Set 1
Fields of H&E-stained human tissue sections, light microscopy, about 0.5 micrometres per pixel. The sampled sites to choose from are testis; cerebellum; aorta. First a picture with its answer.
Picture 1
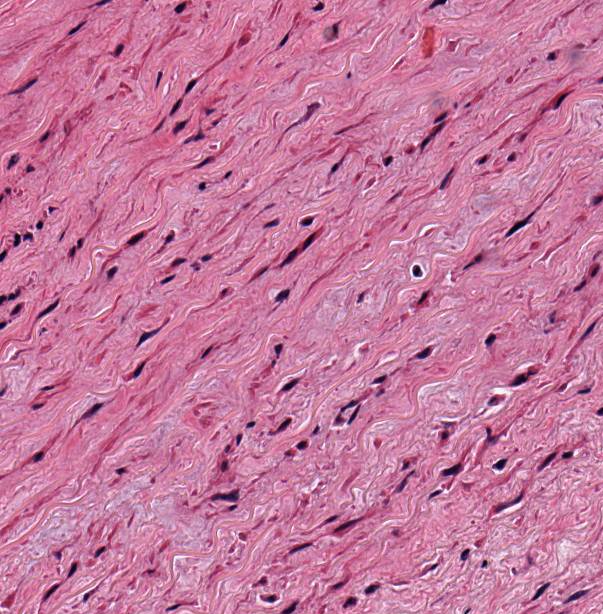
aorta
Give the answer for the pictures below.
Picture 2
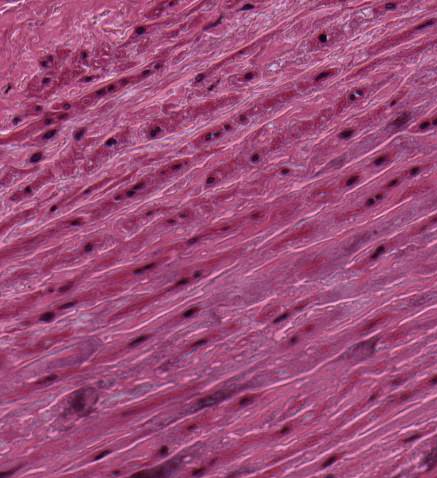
aorta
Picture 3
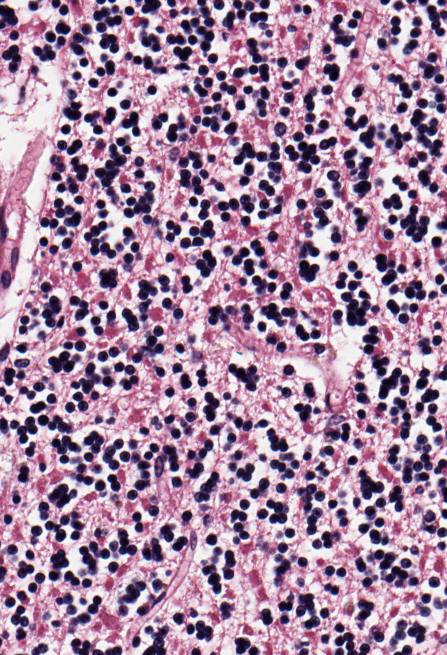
cerebellum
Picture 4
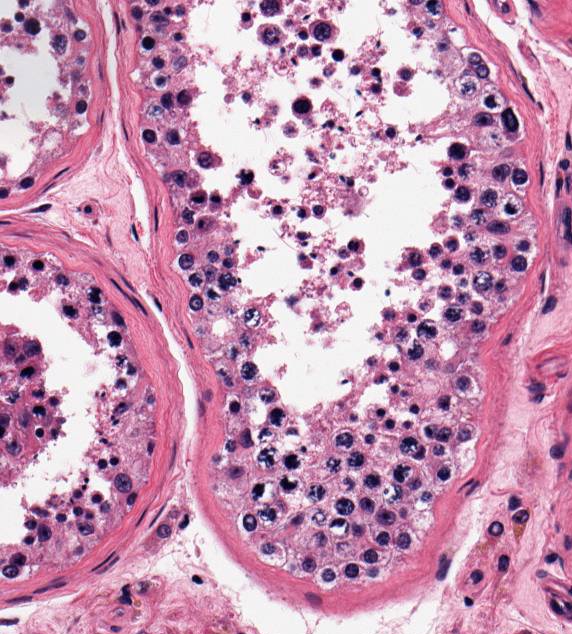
testis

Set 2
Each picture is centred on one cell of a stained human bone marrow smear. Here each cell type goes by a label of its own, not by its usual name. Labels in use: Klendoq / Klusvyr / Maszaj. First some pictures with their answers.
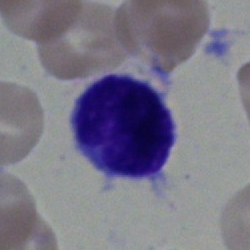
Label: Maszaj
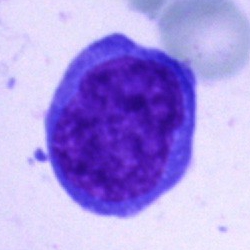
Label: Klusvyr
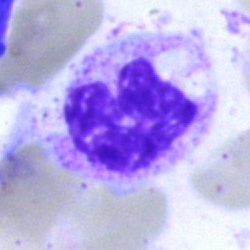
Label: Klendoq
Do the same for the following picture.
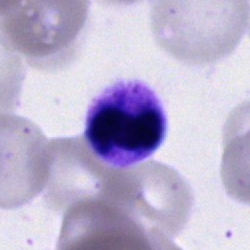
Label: Klendoq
